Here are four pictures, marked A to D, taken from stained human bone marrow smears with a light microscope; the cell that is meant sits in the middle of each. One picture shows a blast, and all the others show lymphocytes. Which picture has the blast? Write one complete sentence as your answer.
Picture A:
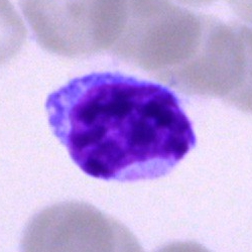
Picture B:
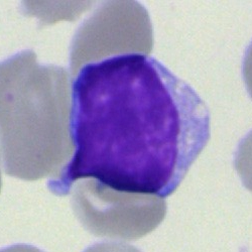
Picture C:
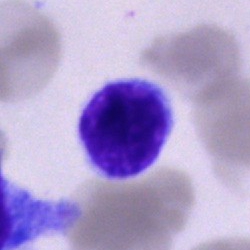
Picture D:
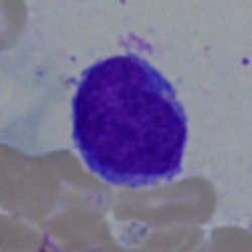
It is picture D that shows the blast.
